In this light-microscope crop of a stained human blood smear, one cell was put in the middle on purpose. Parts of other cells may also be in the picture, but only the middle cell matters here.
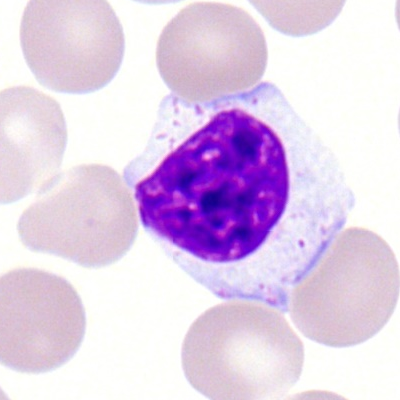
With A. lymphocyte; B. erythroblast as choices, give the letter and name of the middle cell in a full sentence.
The one to choose is option A, as the cell in the middle is a lymphocyte.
